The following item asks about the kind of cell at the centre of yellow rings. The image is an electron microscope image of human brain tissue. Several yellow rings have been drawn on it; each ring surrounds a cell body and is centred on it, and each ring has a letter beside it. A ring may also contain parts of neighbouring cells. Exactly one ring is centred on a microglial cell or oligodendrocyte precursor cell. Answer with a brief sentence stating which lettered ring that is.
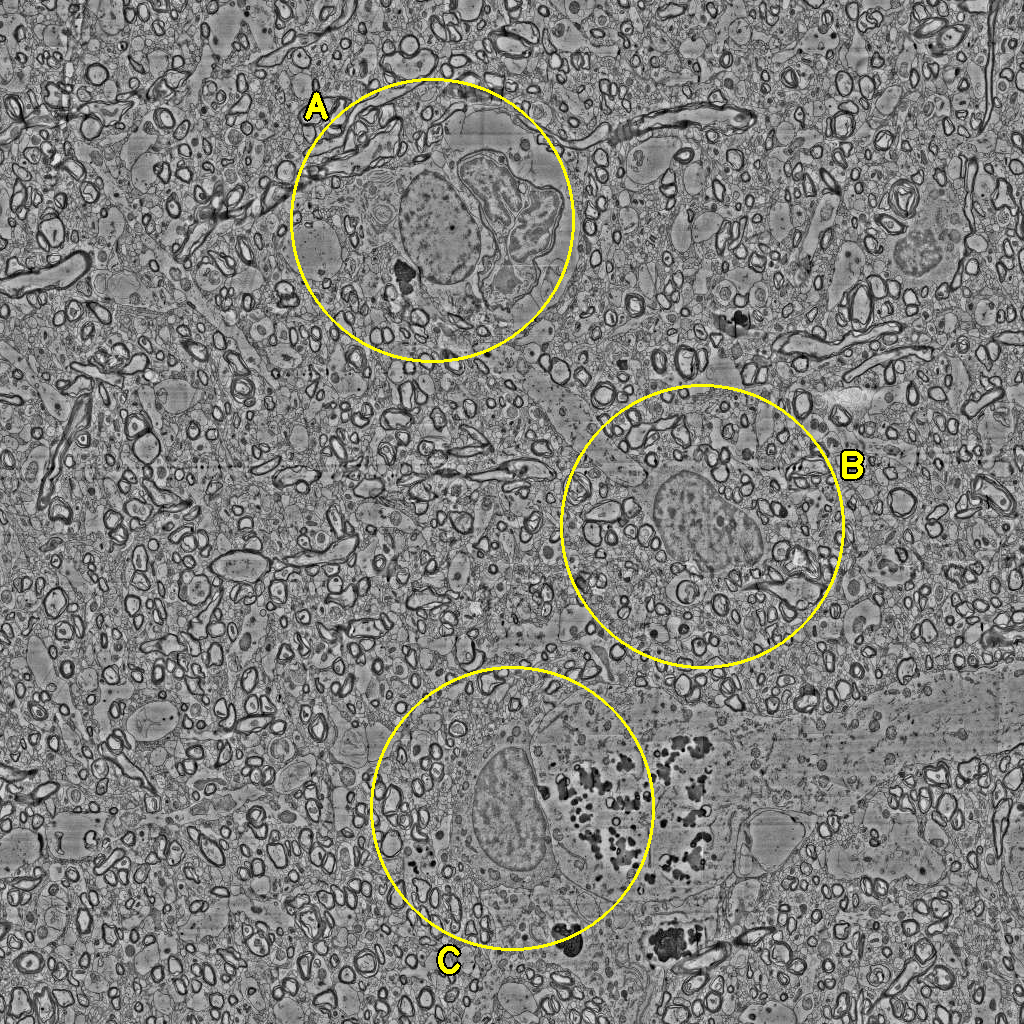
That is ring A.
